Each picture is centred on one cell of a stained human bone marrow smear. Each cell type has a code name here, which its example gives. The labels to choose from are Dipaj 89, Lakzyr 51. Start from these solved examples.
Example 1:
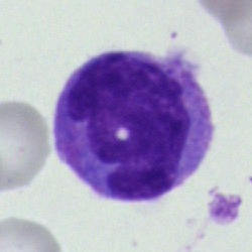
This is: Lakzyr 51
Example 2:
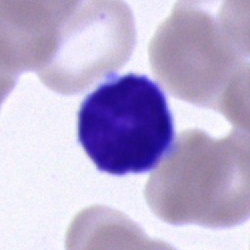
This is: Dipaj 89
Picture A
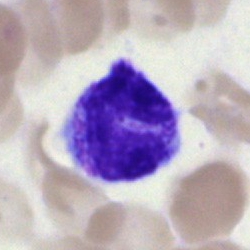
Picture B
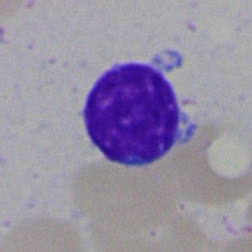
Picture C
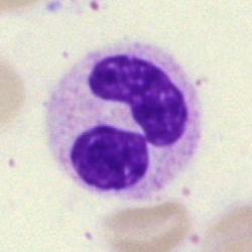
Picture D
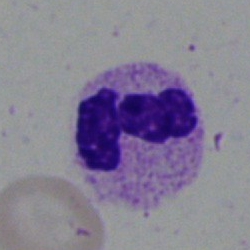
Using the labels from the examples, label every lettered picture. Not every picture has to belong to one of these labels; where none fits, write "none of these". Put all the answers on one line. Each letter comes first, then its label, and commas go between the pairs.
A Lakzyr 51, B Dipaj 89, C none of these, D none of these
